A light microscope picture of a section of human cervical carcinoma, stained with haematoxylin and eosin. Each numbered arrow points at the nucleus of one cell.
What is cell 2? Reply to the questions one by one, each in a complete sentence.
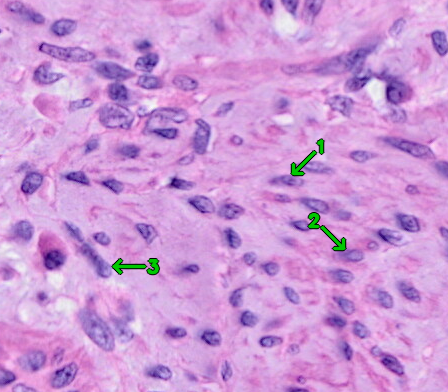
The cell numbered 2 represents a smooth muscle cell.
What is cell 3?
Cell 3 in the field of view is a fibroblast.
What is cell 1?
The mark numbered 1 indicates the nucleus of a smooth muscle cell.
